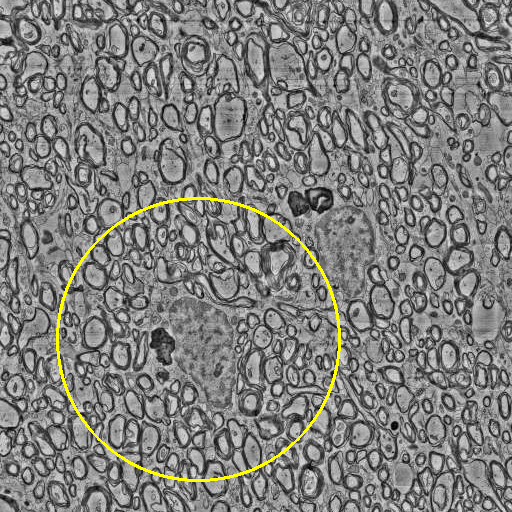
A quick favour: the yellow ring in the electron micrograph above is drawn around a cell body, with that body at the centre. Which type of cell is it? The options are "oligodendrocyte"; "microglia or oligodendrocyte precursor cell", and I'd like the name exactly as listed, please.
oligodendrocyte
